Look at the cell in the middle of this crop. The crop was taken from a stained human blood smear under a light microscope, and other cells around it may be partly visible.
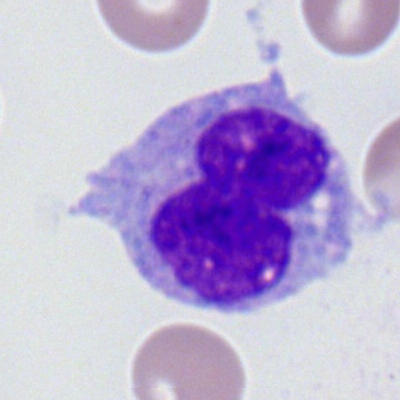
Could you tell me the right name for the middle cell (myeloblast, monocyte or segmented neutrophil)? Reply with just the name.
monocyte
